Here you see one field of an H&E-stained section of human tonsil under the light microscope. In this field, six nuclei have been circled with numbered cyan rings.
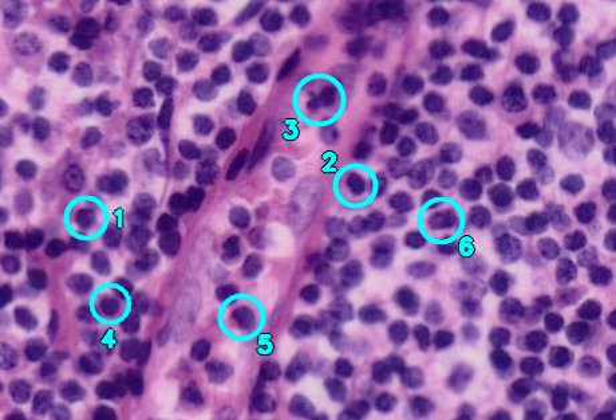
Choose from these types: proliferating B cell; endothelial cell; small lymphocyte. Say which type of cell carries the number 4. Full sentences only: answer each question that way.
The cell with the number 4 is a small lymphocyte.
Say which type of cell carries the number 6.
The cell given label 6 is a small lymphocyte.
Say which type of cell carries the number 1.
Cell number 1 in this section is a small lymphocyte.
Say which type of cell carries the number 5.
The cell pointed out by number 5 is an endothelial cell.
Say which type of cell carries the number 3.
The expected answer is that cell 3 is an endothelial cell.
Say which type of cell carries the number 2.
Nucleus 2 in this section belongs to a small lymphocyte.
